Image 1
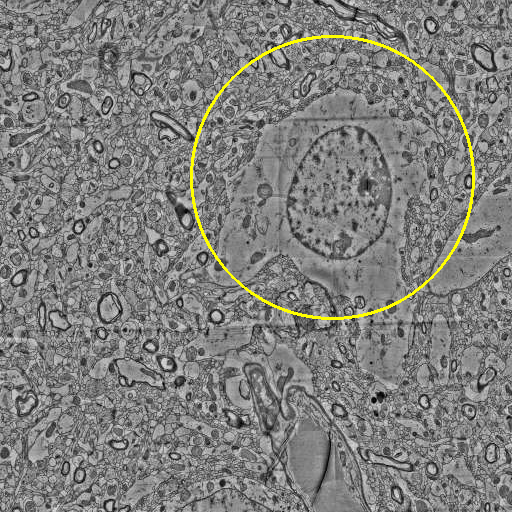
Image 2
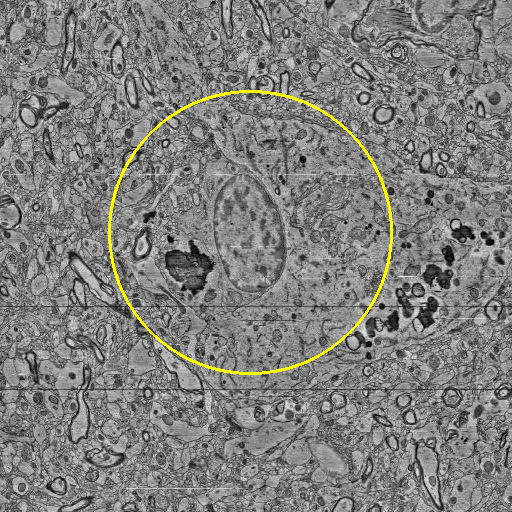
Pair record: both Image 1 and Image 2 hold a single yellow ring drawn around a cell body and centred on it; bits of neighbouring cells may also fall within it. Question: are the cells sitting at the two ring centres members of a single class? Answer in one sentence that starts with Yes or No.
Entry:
No, the ring-centre cells in Image 1 and Image 2 come from two classes.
